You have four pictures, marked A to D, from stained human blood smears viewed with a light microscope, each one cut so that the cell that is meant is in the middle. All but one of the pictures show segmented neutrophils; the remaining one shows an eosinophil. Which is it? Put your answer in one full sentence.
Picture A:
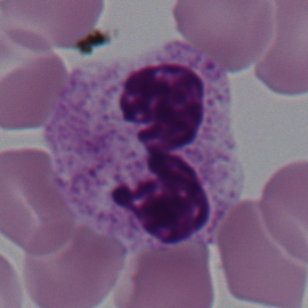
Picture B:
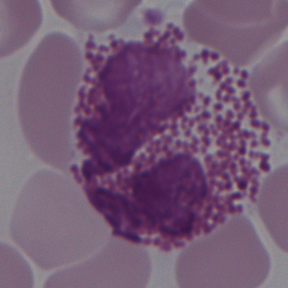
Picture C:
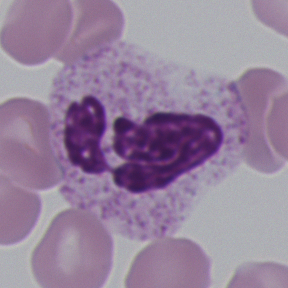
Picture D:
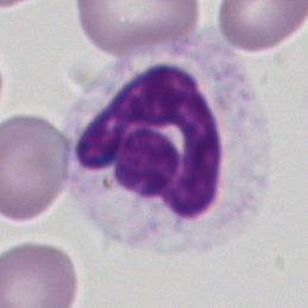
It is picture B that shows the eosinophil.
